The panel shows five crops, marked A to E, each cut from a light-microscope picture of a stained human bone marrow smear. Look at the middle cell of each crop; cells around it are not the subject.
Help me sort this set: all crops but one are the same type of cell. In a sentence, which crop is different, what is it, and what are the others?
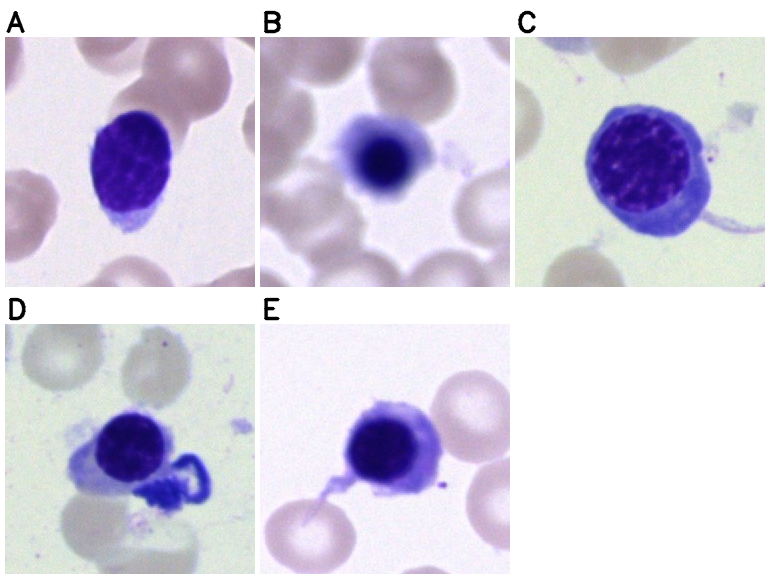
Shown in crop A is a lymphocyte, in contrast to the erythroblasts of all the other crops.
